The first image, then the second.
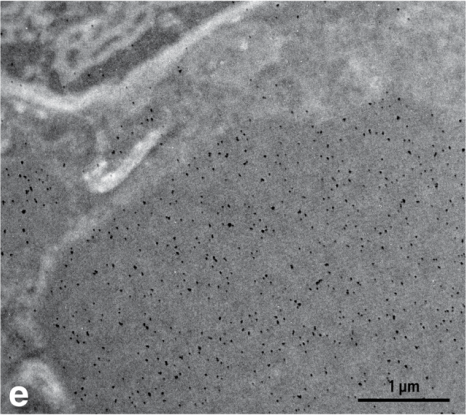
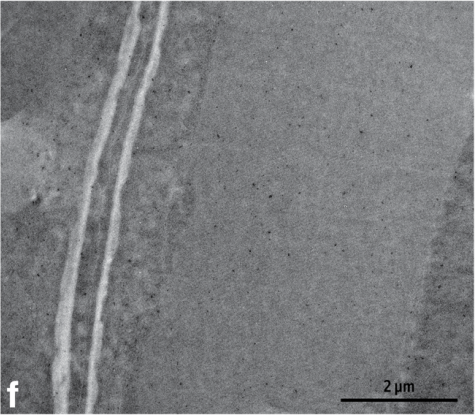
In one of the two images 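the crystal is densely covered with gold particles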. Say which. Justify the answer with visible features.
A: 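Second image: only a few scattered black dots over the grey mass. First image: many small black dots spread evenly over the grey mass. On this evidence: the first image.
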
